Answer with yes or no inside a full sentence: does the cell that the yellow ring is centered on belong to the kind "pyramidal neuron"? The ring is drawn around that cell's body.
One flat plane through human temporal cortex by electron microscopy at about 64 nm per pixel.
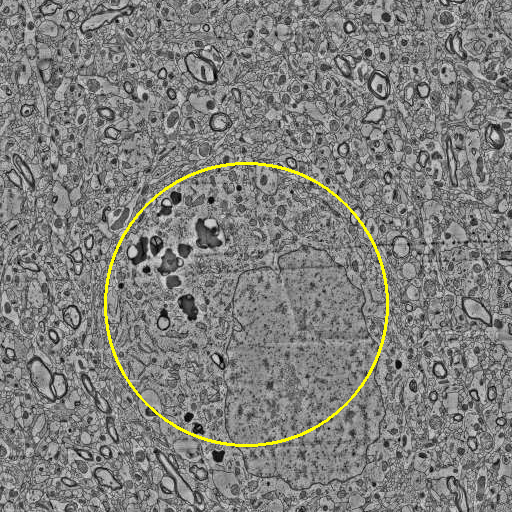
Yes, that kind describes the cell the yellow ring is centered on in the picture.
